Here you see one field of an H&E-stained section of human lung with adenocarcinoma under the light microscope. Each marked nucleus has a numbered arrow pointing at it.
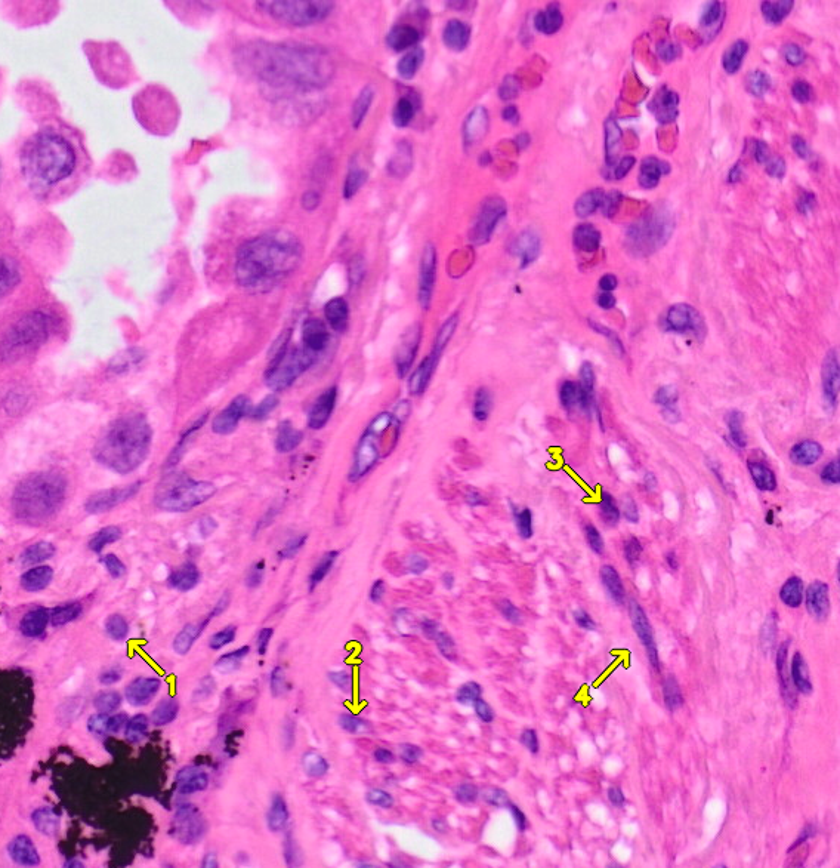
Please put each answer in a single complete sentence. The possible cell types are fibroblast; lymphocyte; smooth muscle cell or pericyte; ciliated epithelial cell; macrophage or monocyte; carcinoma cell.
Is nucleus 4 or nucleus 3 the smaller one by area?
With nucleus 4 about 1.5 times its size, nucleus 3 is the smaller of the two.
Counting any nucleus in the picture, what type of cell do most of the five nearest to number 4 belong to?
Smooth muscle cells or pericytes make up most of the five nuclei closest to number 4.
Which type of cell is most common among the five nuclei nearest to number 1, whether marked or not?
Of the five nuclei nearest to number 1, most belong to lymphocytes.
